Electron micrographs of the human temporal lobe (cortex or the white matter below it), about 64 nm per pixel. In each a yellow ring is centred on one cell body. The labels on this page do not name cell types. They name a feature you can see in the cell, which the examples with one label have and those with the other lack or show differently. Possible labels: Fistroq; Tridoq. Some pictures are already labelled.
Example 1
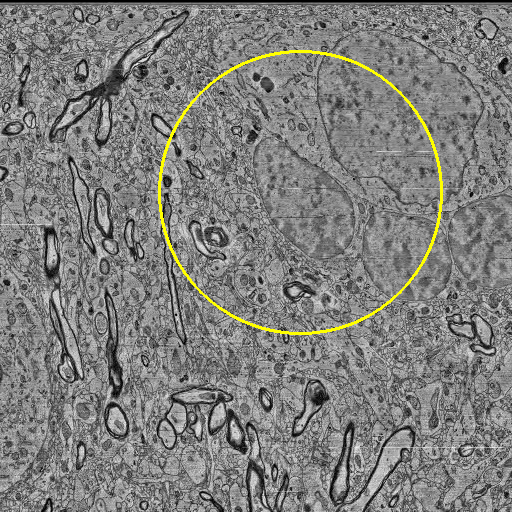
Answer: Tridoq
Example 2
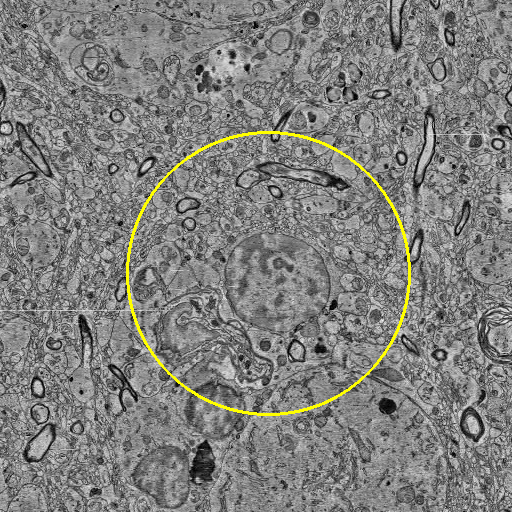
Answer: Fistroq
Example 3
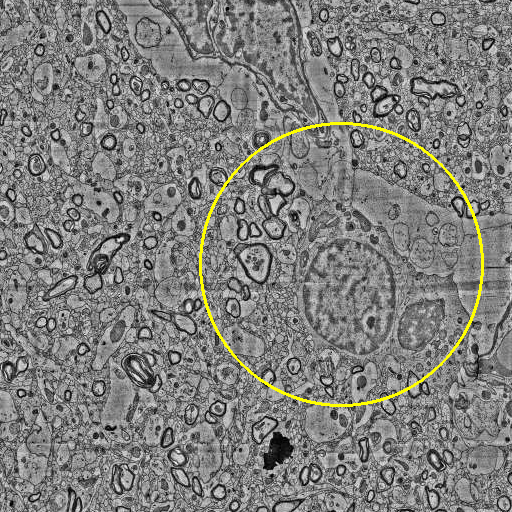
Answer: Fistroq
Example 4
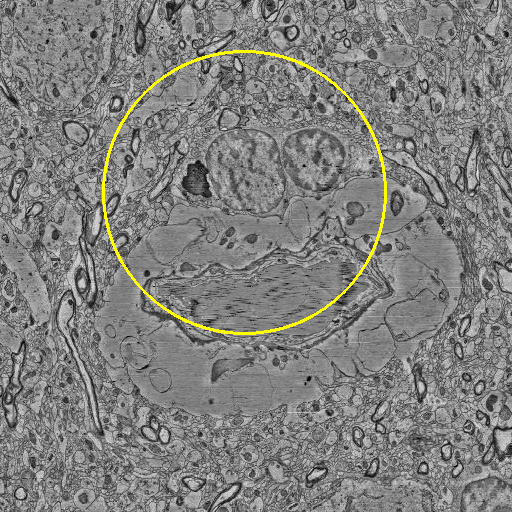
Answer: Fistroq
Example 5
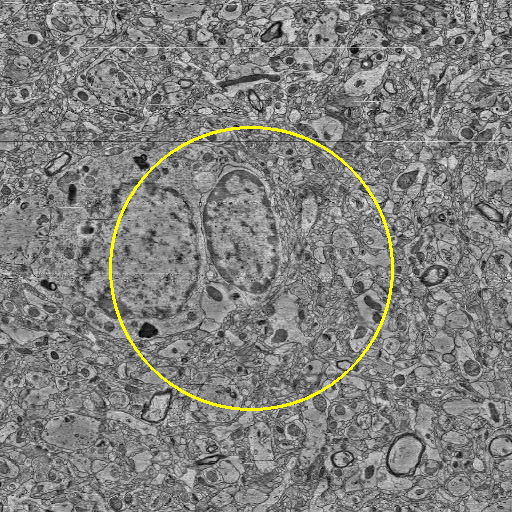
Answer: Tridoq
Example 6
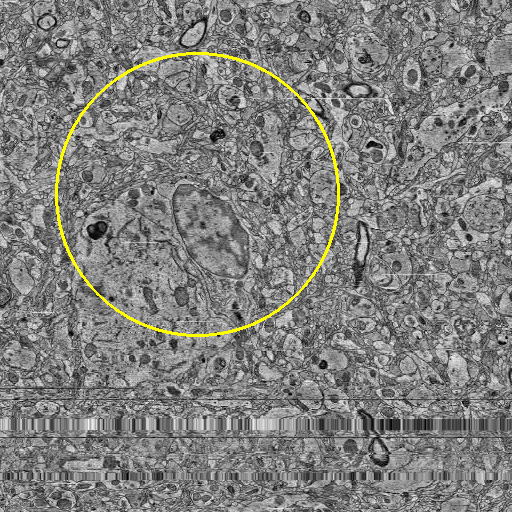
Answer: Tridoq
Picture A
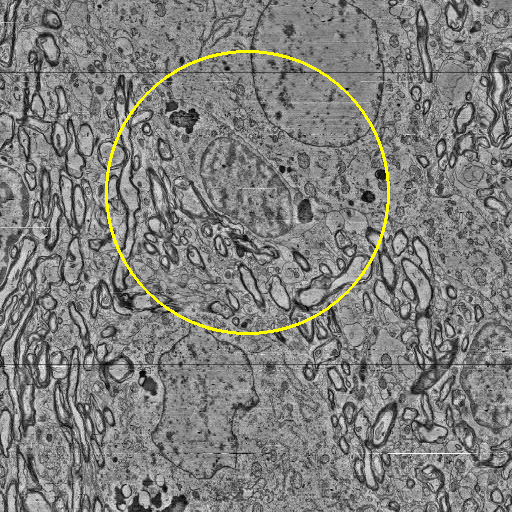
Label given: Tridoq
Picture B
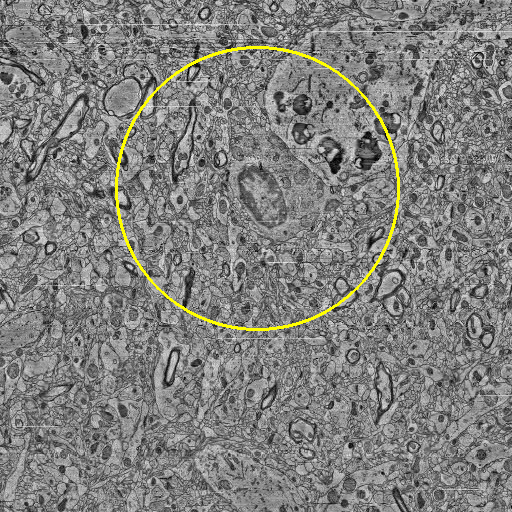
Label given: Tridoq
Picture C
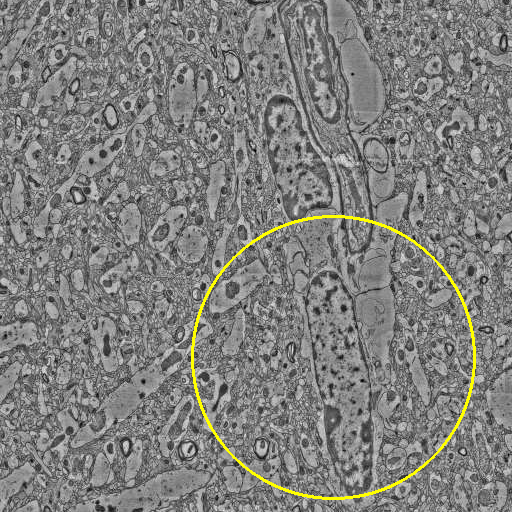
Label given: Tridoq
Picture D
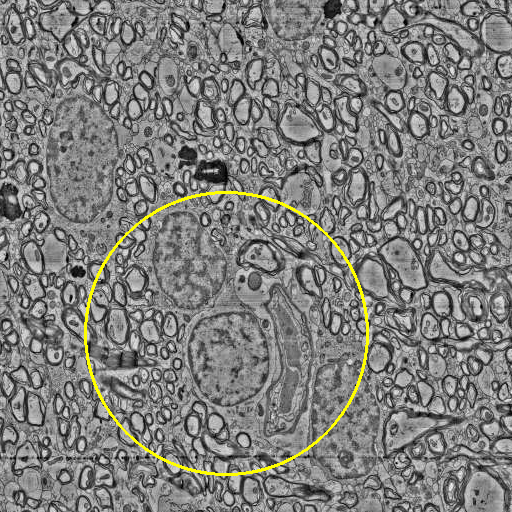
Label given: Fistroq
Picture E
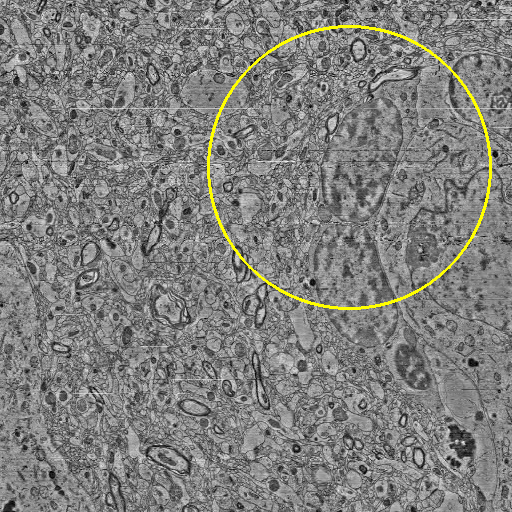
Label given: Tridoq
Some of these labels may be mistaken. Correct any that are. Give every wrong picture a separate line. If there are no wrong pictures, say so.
All correct.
